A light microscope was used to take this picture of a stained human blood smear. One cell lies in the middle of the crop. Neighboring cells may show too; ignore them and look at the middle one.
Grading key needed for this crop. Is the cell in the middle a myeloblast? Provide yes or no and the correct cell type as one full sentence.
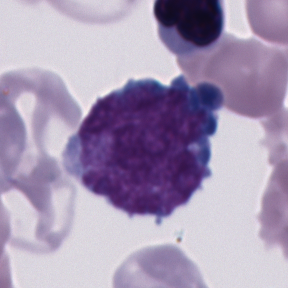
Yes, the one cell at the centre is a myeloblast.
